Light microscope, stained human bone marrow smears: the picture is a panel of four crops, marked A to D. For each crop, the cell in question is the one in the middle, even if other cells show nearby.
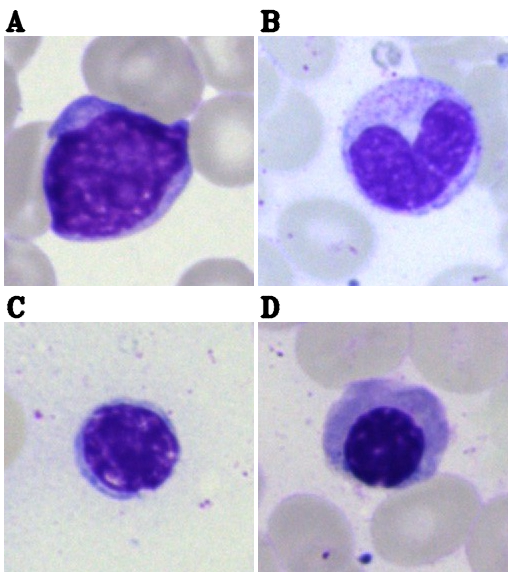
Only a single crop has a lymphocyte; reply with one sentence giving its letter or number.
It is the cell in crop C that is a lymphocyte.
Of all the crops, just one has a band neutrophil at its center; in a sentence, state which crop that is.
The crop that shows a band neutrophil is crop B.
